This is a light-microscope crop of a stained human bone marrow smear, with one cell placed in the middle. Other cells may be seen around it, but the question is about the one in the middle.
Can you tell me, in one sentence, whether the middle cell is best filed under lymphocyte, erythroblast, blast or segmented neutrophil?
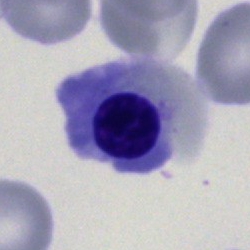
Where the crop is centred, there is an erythroblast.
